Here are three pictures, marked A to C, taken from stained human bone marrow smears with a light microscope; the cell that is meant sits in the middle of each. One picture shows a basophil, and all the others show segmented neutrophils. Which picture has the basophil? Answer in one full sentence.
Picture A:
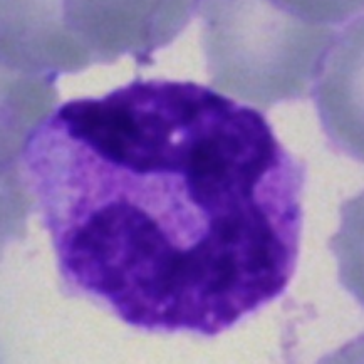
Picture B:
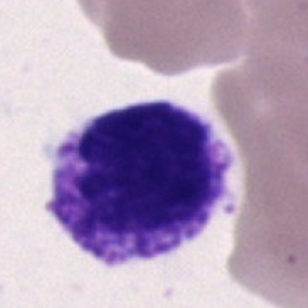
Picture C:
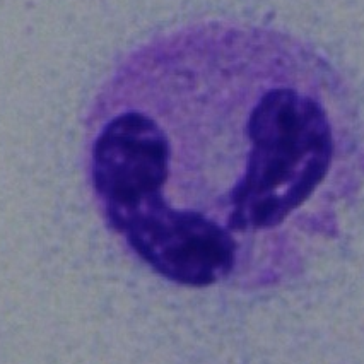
The picture with the basophil is B.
